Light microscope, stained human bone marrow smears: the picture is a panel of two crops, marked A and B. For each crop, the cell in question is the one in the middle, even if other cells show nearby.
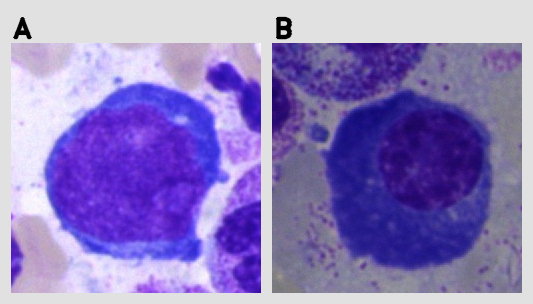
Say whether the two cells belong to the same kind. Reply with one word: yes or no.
no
